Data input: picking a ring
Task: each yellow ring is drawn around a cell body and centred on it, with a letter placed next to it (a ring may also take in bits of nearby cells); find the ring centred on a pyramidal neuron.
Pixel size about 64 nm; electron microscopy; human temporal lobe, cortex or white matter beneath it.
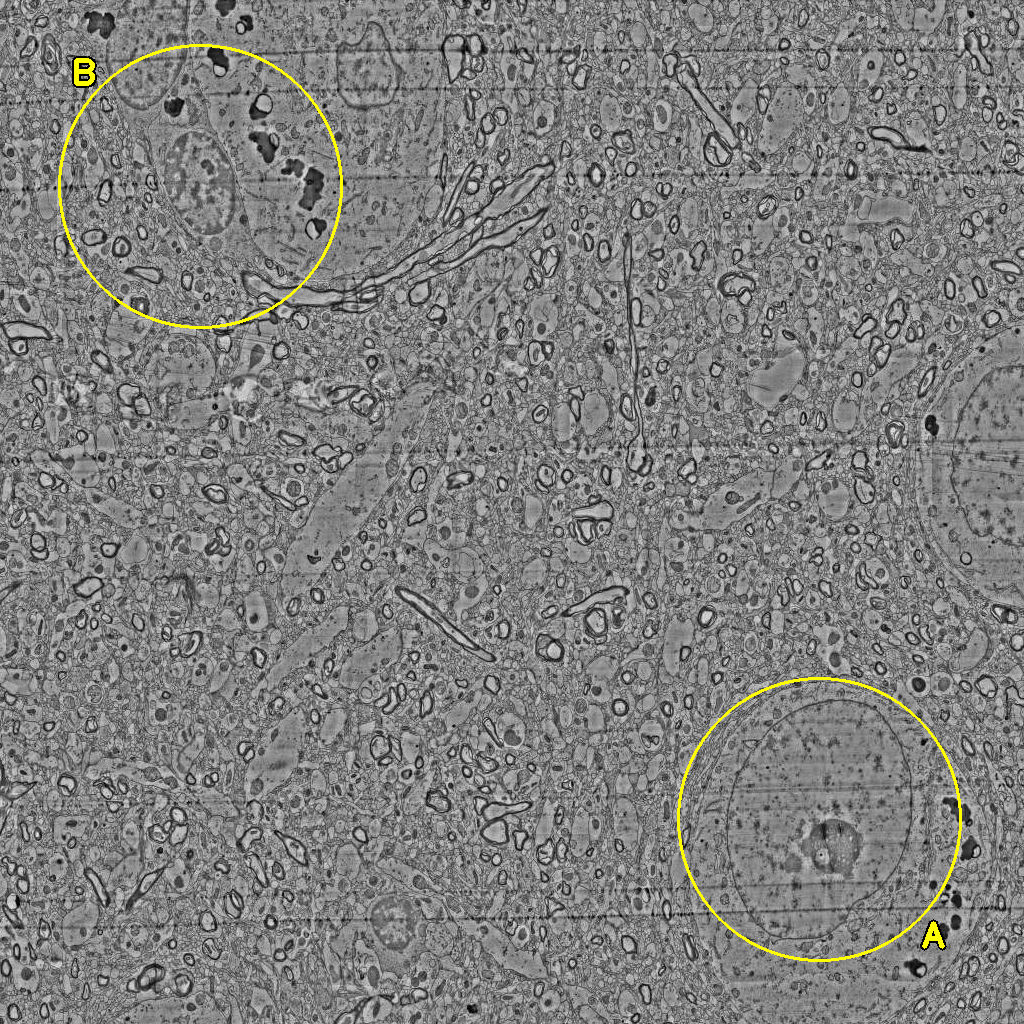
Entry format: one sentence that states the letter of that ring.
In the picture, the cell asked for sits at the centre of ring A.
